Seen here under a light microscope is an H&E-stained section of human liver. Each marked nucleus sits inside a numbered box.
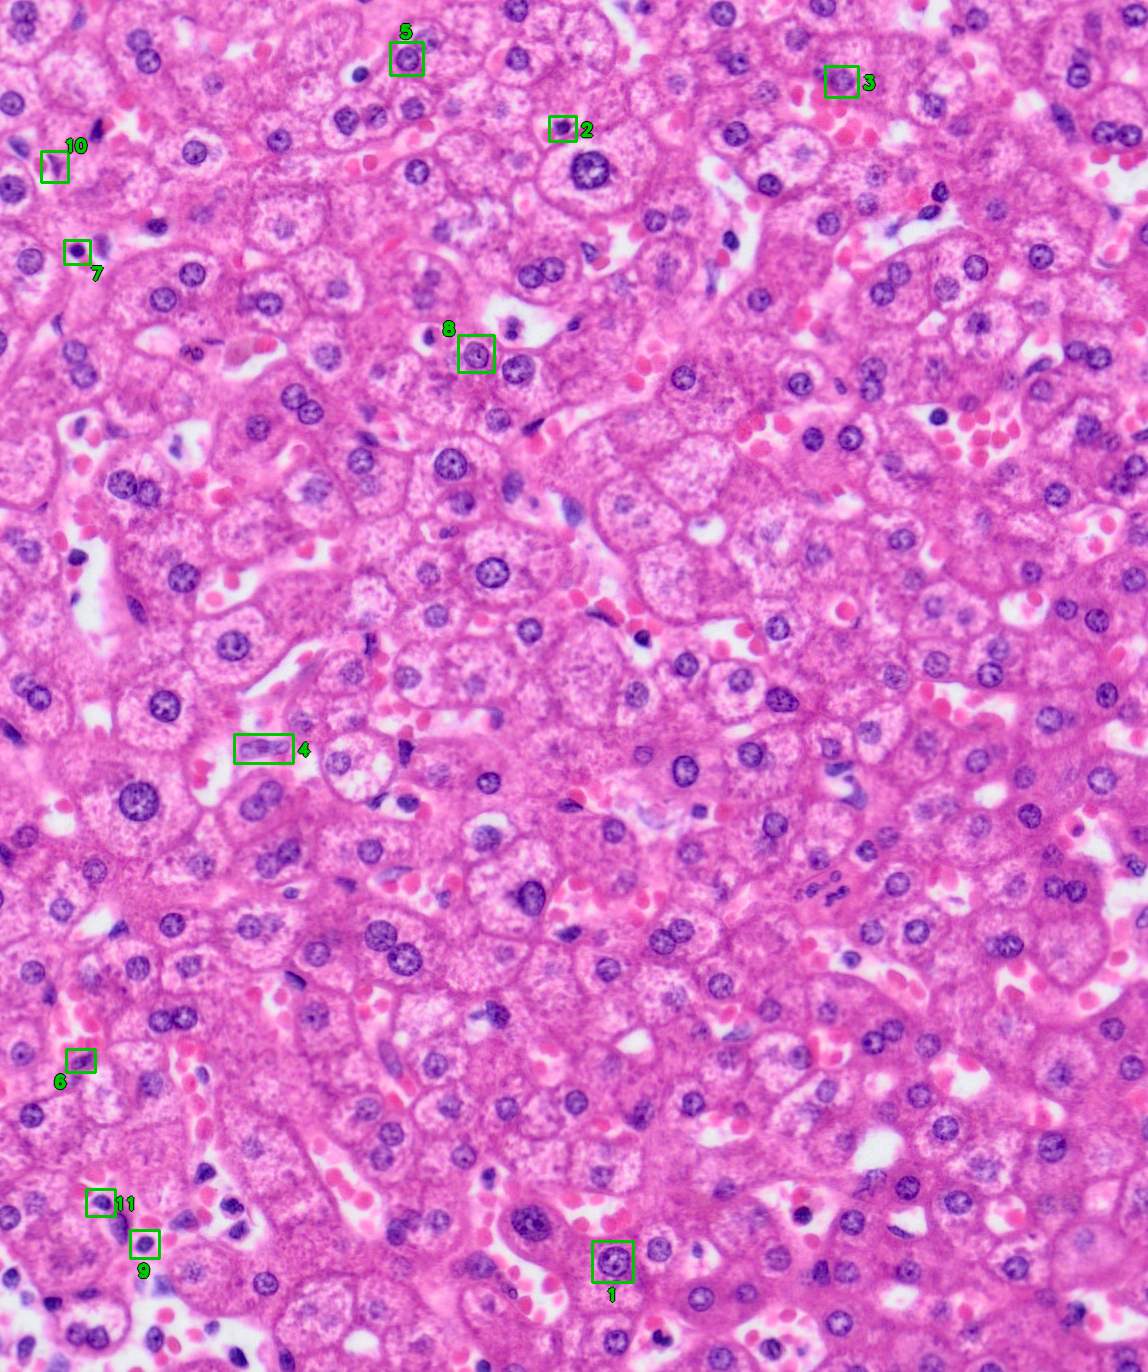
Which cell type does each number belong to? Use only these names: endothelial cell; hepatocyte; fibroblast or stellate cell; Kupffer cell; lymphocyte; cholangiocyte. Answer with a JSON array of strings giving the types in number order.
["hepatocyte", "lymphocyte", "hepatocyte", "Kupffer cell", "hepatocyte", "Kupffer cell", "lymphocyte", "hepatocyte", "lymphocyte", "endothelial cell", "lymphocyte"]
